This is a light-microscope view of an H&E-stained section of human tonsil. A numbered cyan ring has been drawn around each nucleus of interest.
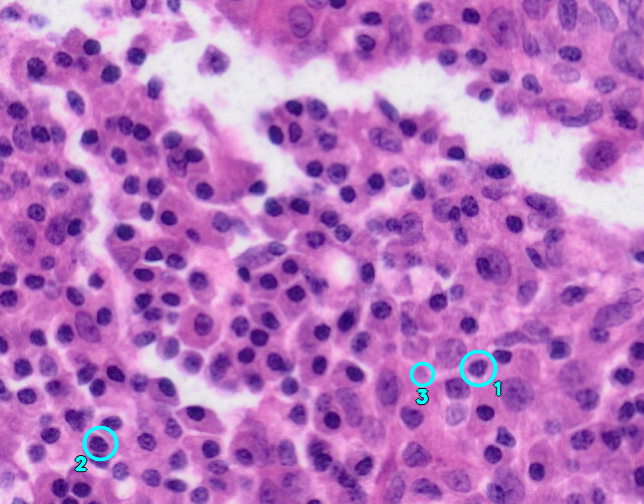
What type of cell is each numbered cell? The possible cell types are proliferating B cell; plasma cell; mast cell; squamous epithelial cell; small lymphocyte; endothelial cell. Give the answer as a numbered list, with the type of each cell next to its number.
1. squamous epithelial cell
2. plasma cell
3. squamous epithelial cell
